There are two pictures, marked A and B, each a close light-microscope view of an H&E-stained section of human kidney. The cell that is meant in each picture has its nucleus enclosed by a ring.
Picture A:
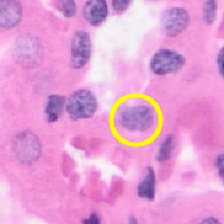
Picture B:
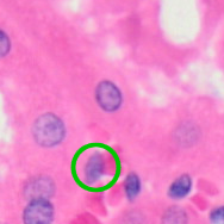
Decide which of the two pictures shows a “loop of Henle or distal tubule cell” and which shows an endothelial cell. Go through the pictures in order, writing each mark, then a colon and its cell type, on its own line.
A: loop of Henle or distal tubule cell
B: endothelial cell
